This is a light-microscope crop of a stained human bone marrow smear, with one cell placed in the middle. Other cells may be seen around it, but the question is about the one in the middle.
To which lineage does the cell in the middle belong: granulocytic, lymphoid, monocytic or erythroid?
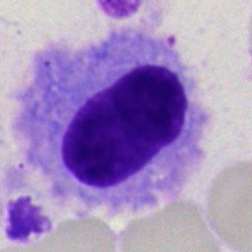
lymphoid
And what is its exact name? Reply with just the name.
hairy cell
